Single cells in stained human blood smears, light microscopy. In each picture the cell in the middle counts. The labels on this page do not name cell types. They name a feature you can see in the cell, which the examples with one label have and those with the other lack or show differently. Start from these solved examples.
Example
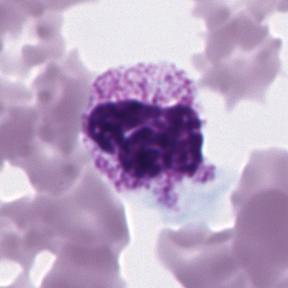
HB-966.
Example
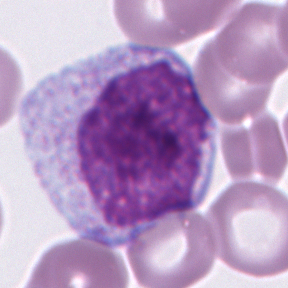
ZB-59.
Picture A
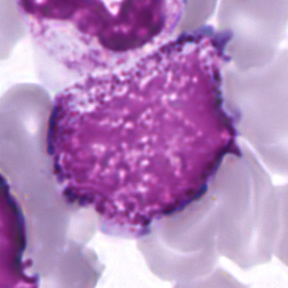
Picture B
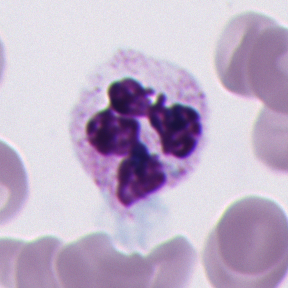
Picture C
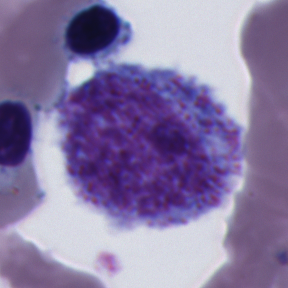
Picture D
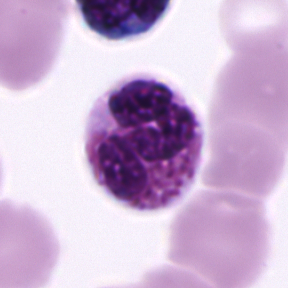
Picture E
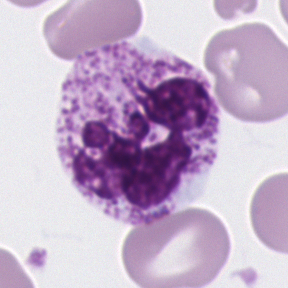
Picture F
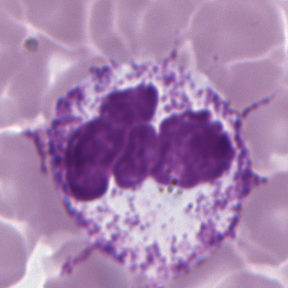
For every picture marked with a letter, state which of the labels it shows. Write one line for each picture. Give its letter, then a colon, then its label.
A: HB-966.
B: ZB-59.
C: HB-966.
D: ZB-59.
E: HB-966.
F: HB-966.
